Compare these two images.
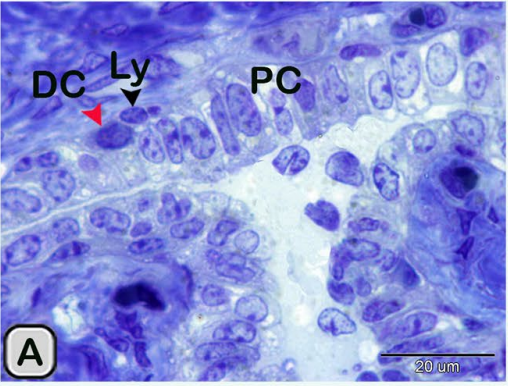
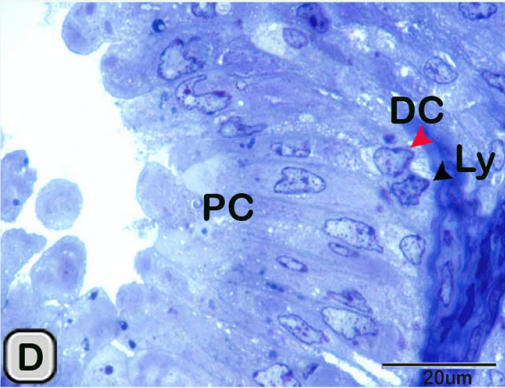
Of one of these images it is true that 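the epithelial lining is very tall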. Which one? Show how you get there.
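Second image: tall columnar cells with long pale cytoplasm extend over most of the field toward the lumen. First image: the epithelial cells are shorter, with nuclei crowded in a lower lining. So: the second image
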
